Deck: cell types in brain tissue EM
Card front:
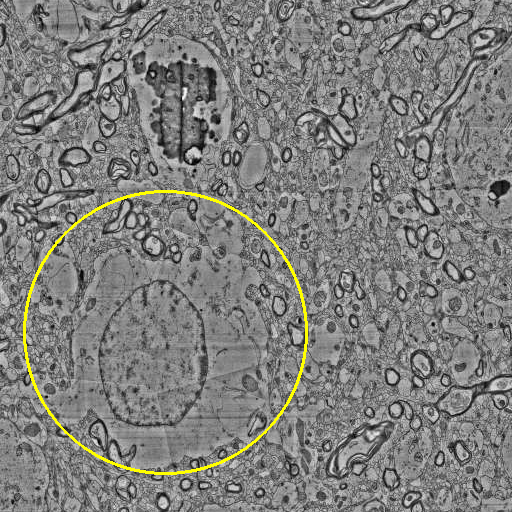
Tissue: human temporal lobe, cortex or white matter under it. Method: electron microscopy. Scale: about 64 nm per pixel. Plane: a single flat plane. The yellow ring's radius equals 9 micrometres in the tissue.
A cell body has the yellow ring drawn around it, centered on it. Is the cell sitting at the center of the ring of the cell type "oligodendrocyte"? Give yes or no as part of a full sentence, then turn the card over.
No, on this card the yellow ring is centered on a cell of a different type.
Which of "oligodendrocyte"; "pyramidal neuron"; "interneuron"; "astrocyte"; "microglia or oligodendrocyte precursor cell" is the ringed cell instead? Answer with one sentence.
The ringed cell in this picture is, instead, an astrocyte.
